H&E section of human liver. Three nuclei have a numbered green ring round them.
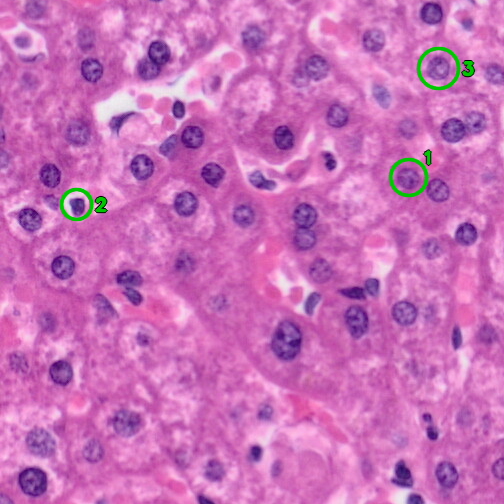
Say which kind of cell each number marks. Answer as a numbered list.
1. hepatocyte
2. lymphocyte
3. hepatocyte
